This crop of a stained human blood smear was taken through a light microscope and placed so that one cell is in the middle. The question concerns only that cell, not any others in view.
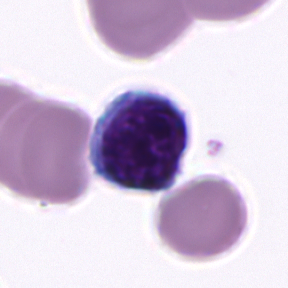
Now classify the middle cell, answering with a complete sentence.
The cell centered in this field of view is a plasma cell.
